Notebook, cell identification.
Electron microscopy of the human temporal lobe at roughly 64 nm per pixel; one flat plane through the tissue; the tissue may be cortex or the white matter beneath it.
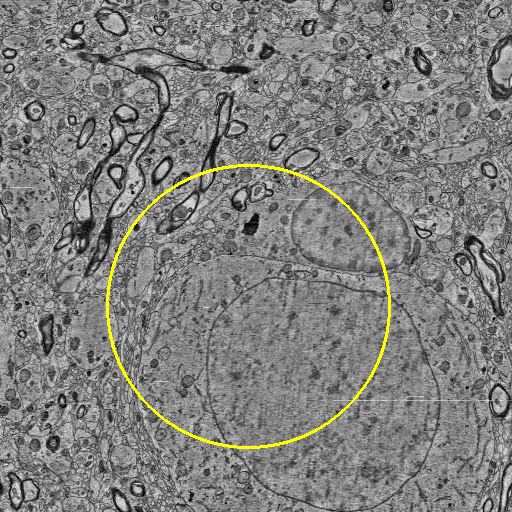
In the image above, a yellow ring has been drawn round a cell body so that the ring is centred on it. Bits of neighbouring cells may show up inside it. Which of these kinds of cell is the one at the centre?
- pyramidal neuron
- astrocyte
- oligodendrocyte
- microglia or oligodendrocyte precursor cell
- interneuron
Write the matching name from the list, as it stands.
pyramidal neuron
